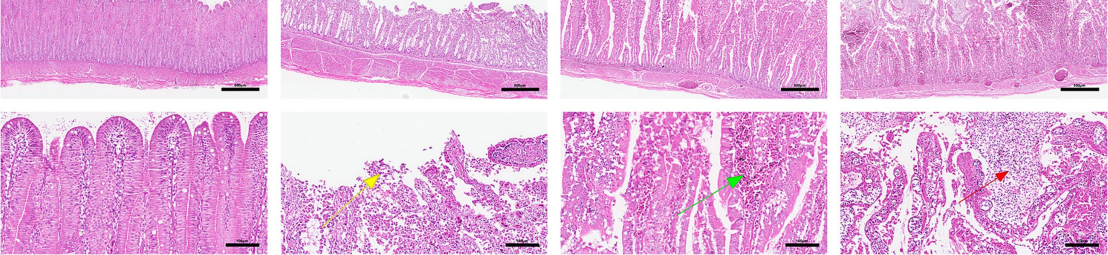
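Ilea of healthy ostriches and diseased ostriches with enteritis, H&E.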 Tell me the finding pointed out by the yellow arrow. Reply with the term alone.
Shedding of villous epithelial cells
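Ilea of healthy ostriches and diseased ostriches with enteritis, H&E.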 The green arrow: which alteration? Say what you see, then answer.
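Congestion in the intestinal villi. The arrow points into a villus core crowded with red-stained blood cells.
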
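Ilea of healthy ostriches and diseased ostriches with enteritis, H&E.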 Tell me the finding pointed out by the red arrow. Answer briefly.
Lymphocytic infiltration.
